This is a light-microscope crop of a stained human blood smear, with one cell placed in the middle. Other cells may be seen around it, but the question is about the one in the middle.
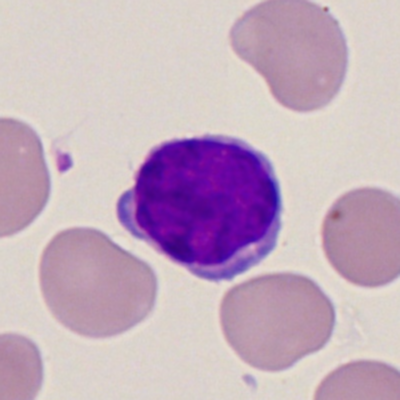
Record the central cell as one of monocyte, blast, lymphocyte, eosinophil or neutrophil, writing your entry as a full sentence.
At the crop's centre, the cell is a lymphocyte.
